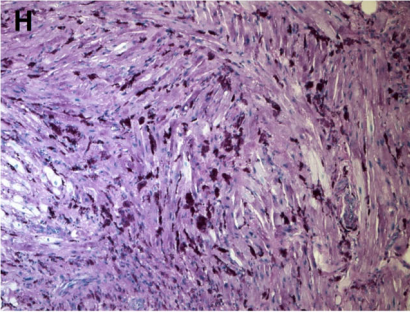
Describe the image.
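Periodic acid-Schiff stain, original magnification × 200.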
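Here numerous macrophages with dark magenta granular cytoplasm are scattered through a fibrous, swirling tissue. Many of them are elongated and follow the direction of the surrounding fibres, giving a streaming pattern. The background is a pale lilac fibrous matrix with scattered slender nuclei. The density of the stained cells varies, with crowded clusters in some areas and fewer in others.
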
